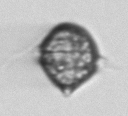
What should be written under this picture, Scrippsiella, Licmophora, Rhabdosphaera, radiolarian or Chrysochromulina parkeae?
Scrippsiella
